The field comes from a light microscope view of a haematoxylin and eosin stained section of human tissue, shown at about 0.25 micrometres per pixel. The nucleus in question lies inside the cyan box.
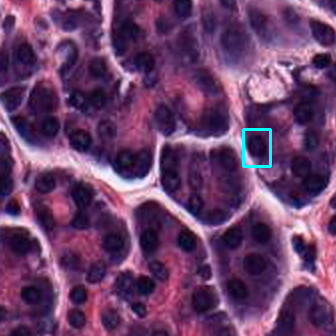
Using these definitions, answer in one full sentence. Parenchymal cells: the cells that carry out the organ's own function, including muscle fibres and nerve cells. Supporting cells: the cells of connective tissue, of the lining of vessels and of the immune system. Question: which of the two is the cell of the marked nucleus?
The marked nucleus is that of a cell of the parenchyma, namely a pancreatic acinar cell.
